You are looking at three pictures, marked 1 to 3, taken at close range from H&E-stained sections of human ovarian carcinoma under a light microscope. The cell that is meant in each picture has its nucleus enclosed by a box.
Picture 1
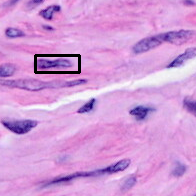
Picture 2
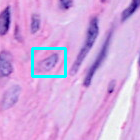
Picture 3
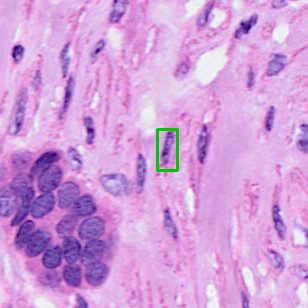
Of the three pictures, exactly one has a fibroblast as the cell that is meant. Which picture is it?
3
